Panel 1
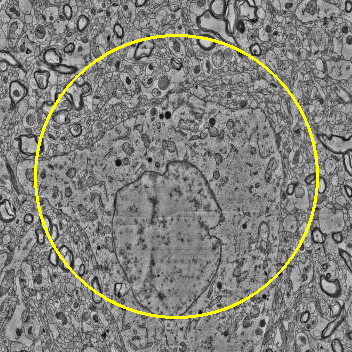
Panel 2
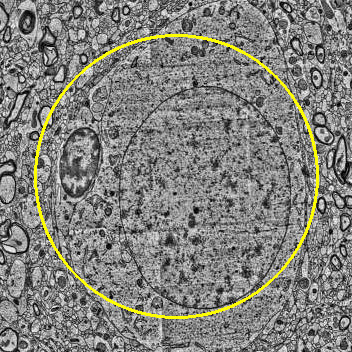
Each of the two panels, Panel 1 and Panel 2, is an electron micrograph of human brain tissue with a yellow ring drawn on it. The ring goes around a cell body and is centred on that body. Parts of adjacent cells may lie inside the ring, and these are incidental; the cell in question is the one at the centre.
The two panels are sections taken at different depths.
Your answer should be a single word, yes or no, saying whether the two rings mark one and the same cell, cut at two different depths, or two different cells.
no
